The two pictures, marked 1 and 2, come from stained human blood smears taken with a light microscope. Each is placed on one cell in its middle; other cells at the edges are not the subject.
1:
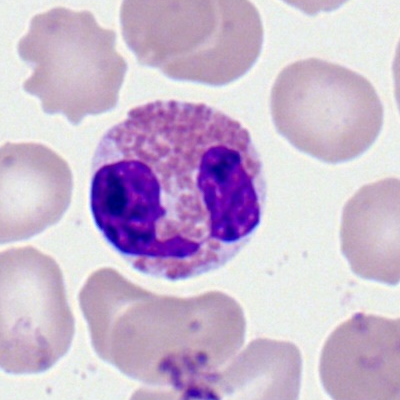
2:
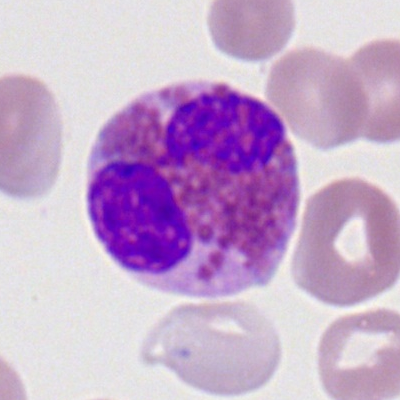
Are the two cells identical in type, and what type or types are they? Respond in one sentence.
Yes, both crops show eosinophils, the one and the other.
